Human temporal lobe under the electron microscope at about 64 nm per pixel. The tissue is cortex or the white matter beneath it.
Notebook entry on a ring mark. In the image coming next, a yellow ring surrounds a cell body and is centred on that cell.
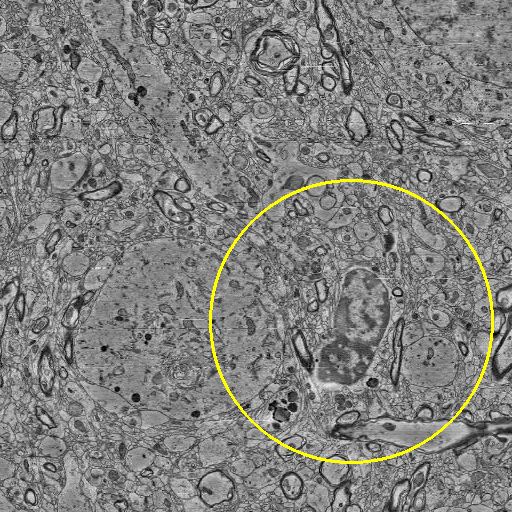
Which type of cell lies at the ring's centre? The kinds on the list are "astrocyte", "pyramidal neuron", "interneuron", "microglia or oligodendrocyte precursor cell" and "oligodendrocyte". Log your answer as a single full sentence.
Centred in the yellow ring is a microglial cell or oligodendrocyte precursor cell, the cell recorded for this image.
